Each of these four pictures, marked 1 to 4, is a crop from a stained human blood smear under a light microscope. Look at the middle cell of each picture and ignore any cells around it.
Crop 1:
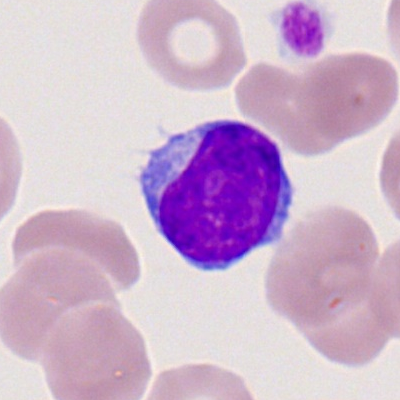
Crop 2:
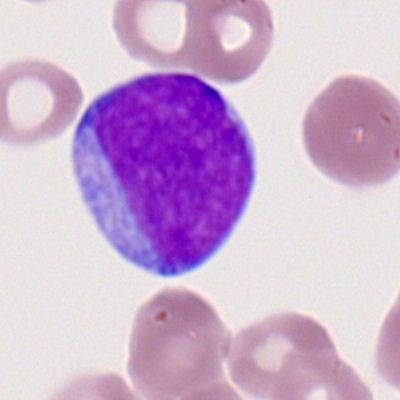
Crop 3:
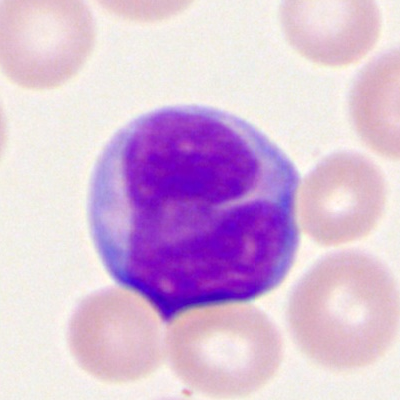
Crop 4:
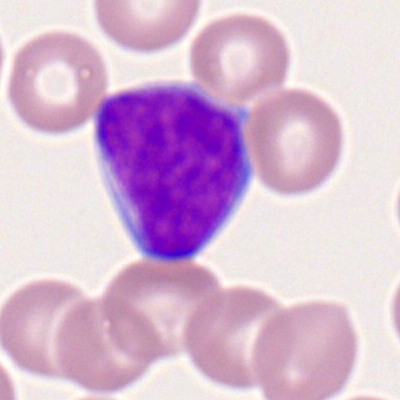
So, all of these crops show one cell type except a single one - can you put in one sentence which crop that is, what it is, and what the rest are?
Crop 1 is the outlier, with a lymphocyte against myeloblasts in the rest.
